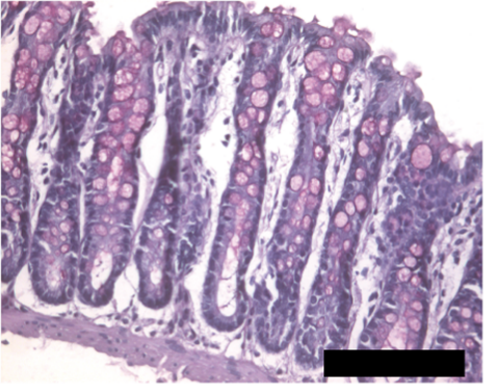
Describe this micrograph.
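This is colonic mucosa with long, straight, parallel tubular crypts running from the surface down to a thin band of muscle at the bottom. The crypts are lined by a single layer of columnar epithelial cells with dark basal nuclei, among which sit many rounded goblet cells whose cytoplasm is filled with pale pink, bubbly mucin. Loose lamina propria with scattered nuclei lies between the crypts.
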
